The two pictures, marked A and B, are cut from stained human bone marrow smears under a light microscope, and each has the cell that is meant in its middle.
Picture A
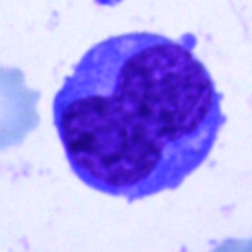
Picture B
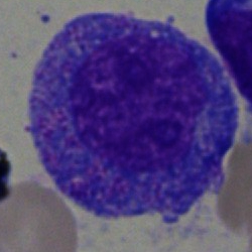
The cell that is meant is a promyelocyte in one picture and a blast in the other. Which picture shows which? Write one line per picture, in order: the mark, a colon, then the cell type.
A: blast
B: promyelocyte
